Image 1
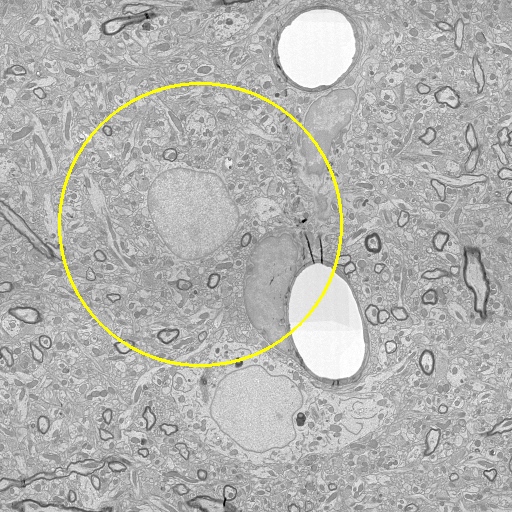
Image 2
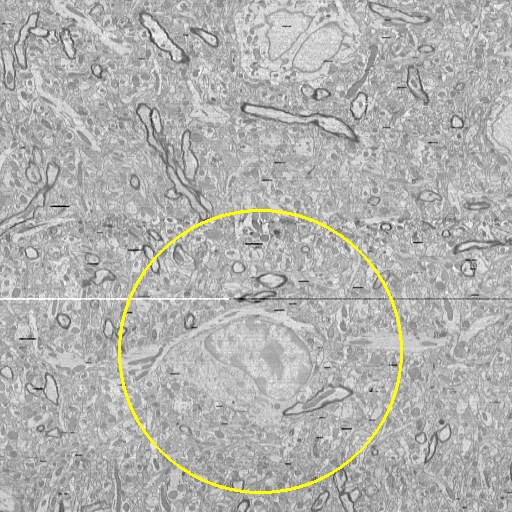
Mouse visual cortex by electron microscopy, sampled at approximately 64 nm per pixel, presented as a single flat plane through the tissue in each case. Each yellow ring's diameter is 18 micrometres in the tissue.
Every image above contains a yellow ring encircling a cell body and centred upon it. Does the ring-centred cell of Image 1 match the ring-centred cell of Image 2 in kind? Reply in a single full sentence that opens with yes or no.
No, the cell at the ring's centre in Image 1 is a separate kind from that in Image 2.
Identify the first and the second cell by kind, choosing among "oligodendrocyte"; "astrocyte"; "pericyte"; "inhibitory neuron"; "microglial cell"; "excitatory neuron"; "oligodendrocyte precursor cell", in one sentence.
The one in the first picture is an astrocyte, while the one in the second is an oligodendrocyte.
